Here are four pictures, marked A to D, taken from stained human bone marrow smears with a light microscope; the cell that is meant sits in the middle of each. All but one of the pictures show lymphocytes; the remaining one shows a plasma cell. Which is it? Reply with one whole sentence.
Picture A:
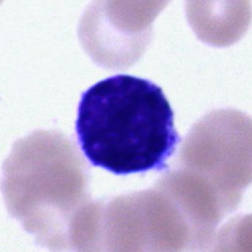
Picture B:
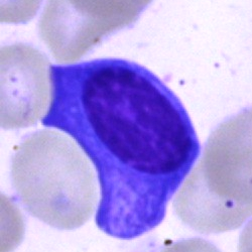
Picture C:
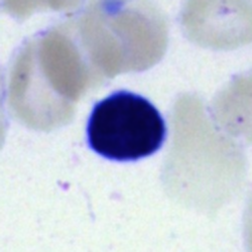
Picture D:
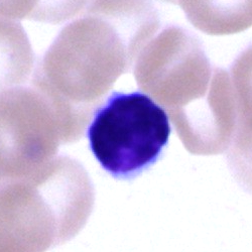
Picture B shows the plasma cell.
